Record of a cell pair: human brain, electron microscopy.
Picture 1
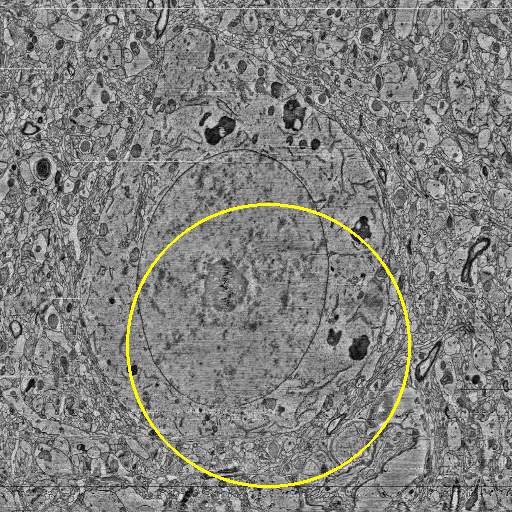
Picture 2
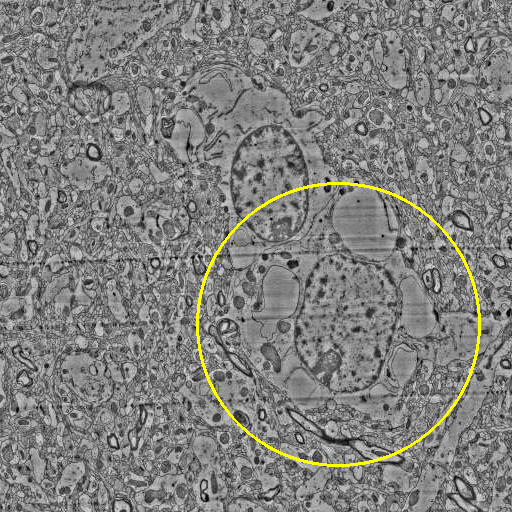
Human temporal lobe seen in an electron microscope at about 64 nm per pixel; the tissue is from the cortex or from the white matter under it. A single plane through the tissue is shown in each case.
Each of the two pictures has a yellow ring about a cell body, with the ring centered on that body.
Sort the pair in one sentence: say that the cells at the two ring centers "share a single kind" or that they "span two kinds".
The cells centered in the rings of Pictures 1 and 2 span two kinds.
